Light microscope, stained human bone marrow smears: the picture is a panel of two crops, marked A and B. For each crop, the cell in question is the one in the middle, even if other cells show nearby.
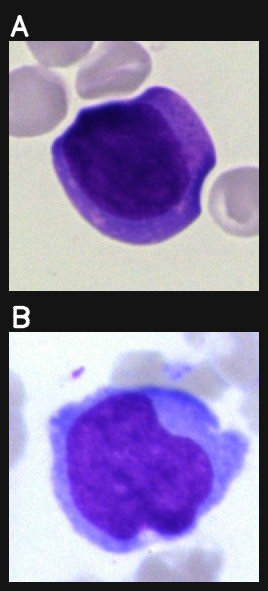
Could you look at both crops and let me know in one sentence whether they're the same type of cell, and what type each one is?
Yes, both crops show blasts, one in each.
